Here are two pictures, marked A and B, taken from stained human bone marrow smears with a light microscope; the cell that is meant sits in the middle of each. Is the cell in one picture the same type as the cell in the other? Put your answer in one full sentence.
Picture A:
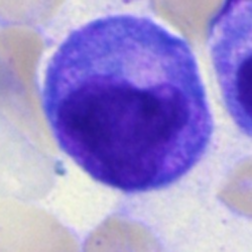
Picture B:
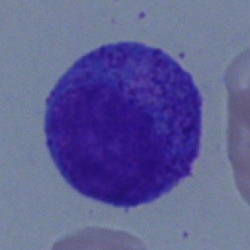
Yes; the cells in both pictures are promyelocytes.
